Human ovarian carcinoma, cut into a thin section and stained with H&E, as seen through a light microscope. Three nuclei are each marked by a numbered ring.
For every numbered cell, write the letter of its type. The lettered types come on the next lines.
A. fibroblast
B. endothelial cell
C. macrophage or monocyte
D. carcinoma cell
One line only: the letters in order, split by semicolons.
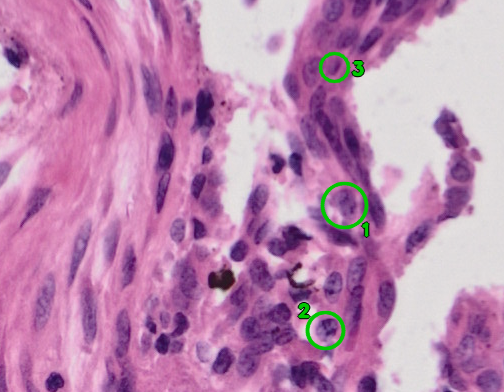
D; C; D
